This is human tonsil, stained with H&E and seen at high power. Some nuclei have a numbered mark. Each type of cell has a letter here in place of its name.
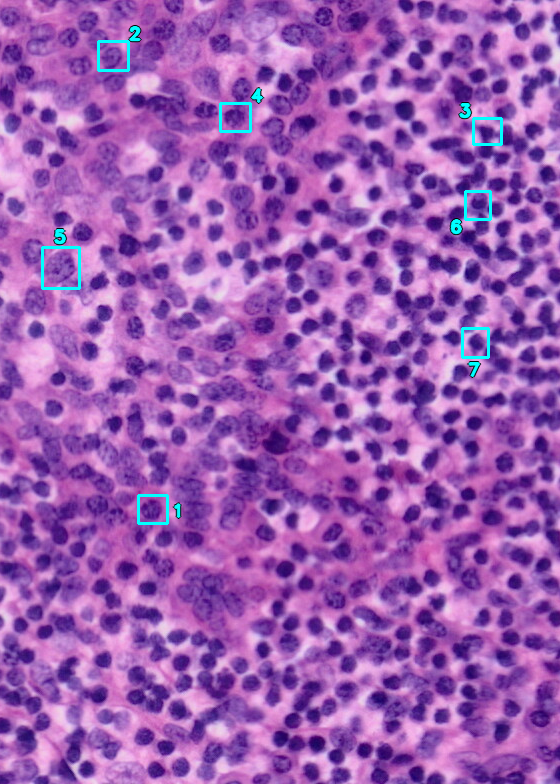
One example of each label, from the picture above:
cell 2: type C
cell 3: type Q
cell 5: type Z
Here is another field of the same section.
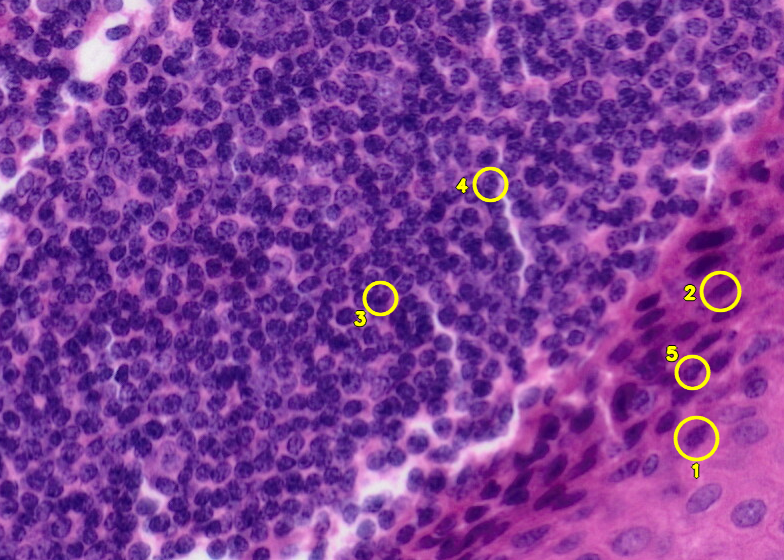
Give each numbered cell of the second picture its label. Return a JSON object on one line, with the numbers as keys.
{"1": "type Z", "2": "type Z", "3": "type Q", "4": "type Q", "5": "type Z"}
